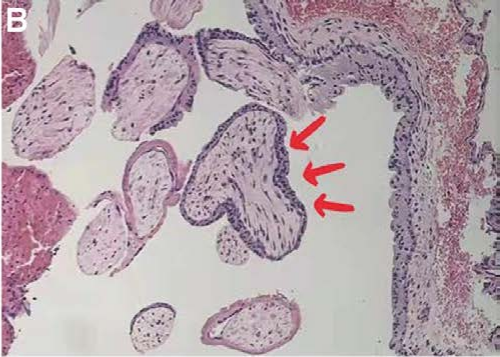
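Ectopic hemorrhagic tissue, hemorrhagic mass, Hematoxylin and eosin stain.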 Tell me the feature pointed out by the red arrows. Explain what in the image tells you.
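Each has a pale, loose core with scattered spindle-shaped nuclei. Red blood fills areas beside them.
Hence: chorionic villi.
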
